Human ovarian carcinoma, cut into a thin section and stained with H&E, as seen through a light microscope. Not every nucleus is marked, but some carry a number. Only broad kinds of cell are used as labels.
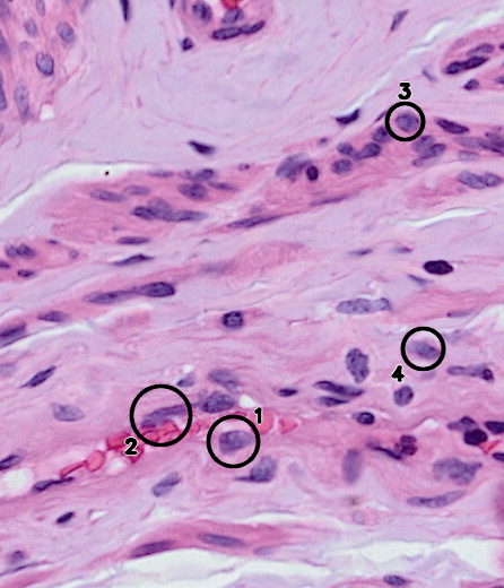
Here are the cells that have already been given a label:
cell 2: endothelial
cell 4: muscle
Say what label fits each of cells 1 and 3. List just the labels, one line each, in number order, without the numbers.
endothelial
muscle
